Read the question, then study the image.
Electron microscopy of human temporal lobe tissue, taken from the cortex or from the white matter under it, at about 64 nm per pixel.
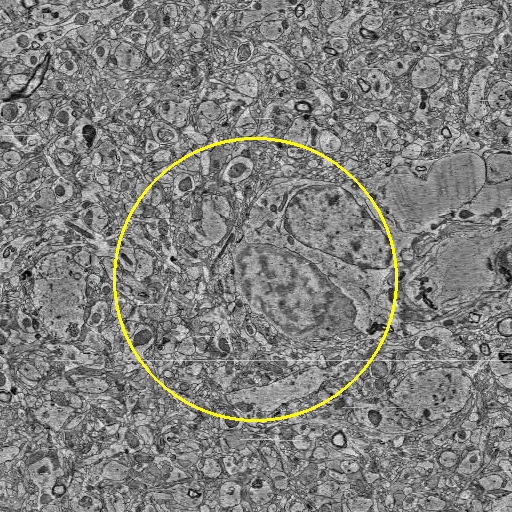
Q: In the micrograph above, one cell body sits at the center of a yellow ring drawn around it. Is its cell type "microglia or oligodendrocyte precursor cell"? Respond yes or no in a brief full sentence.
No, its cell type is another one.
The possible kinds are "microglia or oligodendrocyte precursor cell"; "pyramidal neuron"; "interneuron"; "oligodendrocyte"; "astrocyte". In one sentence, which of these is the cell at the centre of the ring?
The correct answer is that the cell is an oligodendrocyte.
